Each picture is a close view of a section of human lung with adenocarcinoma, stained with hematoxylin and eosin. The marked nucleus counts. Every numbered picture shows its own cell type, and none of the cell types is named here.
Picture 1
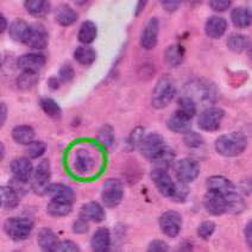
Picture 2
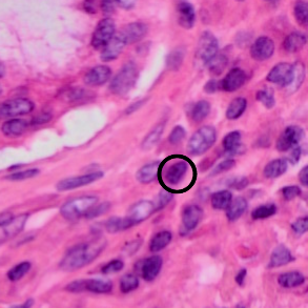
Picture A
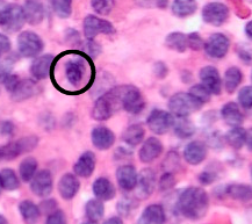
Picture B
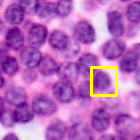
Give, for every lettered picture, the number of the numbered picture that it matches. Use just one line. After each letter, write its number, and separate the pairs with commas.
A 1, B 1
